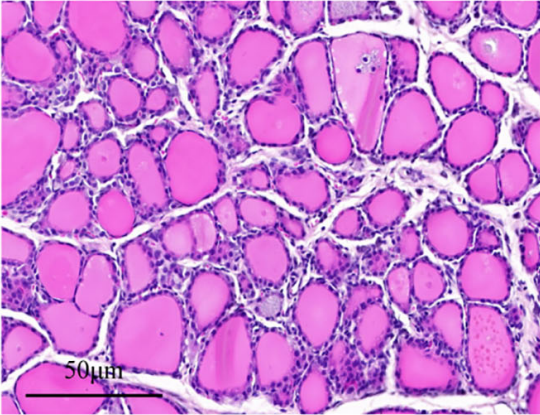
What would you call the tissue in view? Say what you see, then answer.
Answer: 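Closely packed round to polygonal follicles filled with homogeneous pink material. Each follicle is lined by a single layer of flat to cuboidal cells with dark purple nuclei. Thin strands of pale connective tissue separate groups of follicles.
Answer: thyroid glands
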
